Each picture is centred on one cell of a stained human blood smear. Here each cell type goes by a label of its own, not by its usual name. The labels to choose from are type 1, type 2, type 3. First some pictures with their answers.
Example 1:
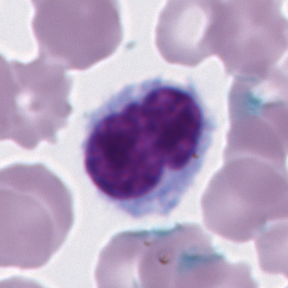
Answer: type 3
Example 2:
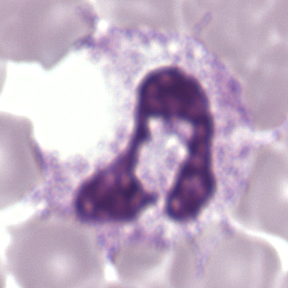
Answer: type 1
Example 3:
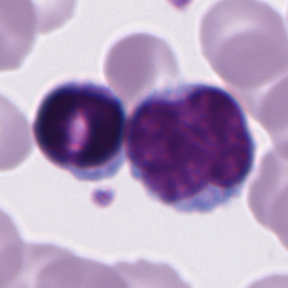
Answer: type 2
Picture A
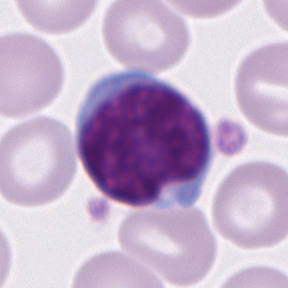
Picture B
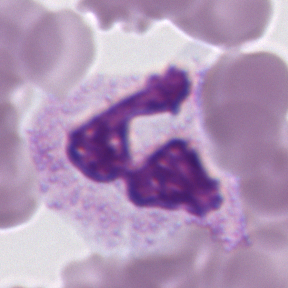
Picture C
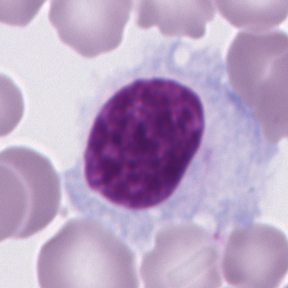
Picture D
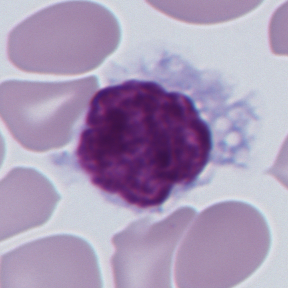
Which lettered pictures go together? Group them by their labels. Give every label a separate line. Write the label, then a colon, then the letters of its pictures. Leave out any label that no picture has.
type 1: B
type 2: A
type 3: C, D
